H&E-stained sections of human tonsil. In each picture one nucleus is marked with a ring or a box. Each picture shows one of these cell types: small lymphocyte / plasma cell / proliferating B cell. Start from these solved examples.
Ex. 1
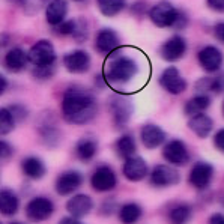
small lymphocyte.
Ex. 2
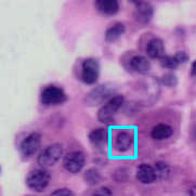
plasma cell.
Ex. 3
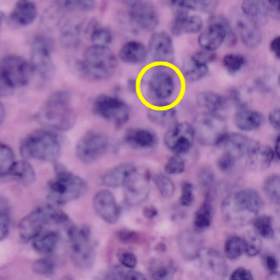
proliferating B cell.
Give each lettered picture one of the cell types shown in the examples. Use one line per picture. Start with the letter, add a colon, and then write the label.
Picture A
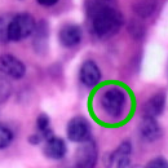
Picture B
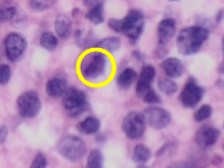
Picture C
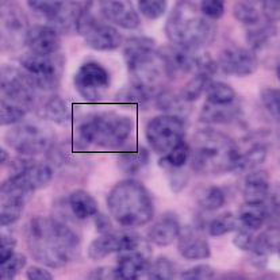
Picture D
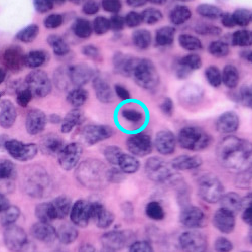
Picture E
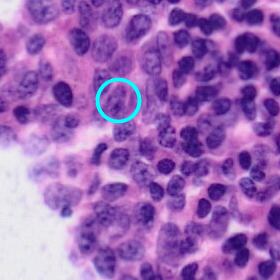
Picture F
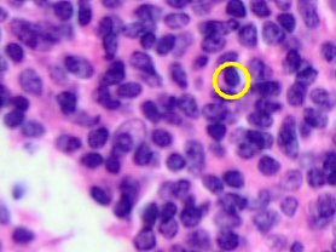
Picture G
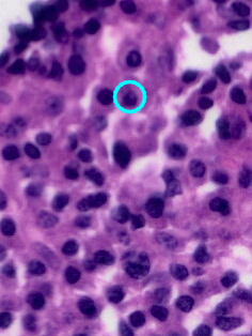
A: plasma cell.
B: proliferating B cell.
C: proliferating B cell.
D: proliferating B cell.
E: proliferating B cell.
F: small lymphocyte.
G: plasma cell.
